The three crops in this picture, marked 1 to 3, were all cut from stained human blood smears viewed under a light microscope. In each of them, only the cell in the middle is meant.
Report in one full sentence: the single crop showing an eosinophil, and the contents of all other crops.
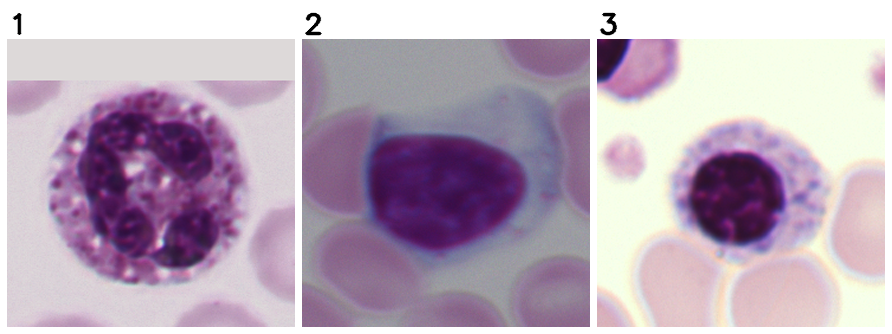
Crop 1 holds an eosinophil at its centre, while crop 2 is a typical lymphocyte and crop 3 is a normoblast.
